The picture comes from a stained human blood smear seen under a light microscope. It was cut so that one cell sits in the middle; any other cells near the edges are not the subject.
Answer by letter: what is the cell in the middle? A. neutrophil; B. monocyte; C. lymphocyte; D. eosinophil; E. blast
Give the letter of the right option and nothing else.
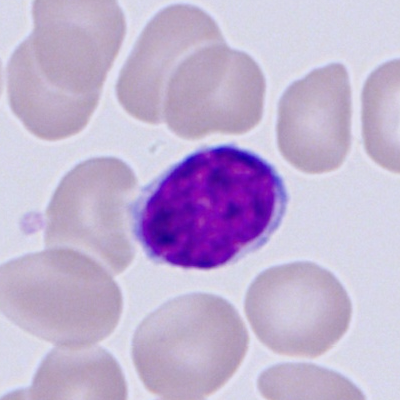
C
